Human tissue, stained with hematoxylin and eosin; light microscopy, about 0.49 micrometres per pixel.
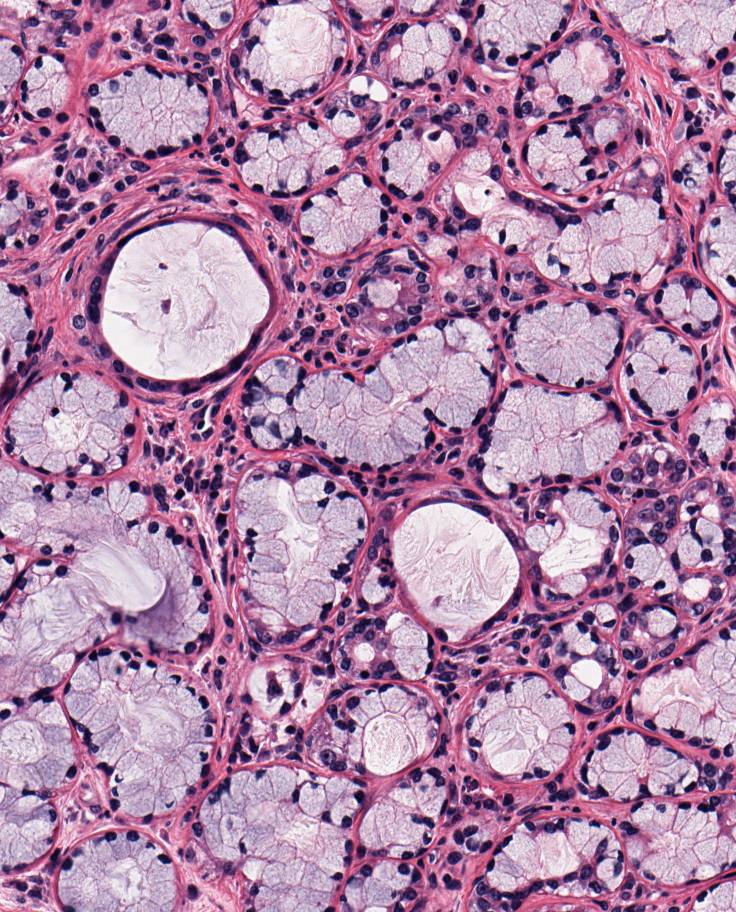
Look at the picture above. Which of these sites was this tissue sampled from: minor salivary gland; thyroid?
minor salivary gland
